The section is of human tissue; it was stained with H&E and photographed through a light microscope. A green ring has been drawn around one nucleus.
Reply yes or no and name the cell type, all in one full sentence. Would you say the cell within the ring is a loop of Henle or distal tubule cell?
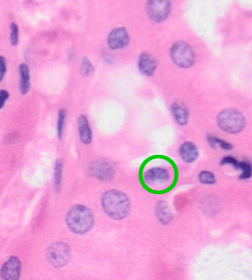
Yes, the cell within the ring is properly regarded as a loop of Henle or distal tubule cell.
